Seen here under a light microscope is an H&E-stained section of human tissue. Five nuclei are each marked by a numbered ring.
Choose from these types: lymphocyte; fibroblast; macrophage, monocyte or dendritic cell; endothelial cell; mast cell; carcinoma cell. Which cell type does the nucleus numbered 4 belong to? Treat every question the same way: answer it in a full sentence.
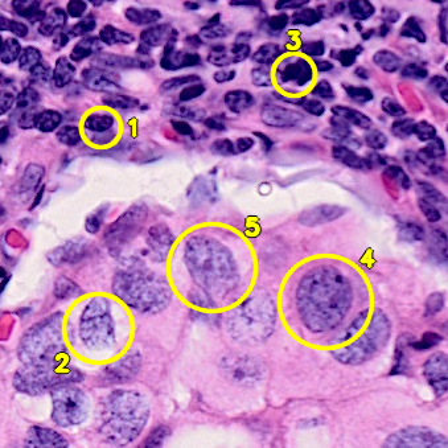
The label 4 in this section denotes a carcinoma cell.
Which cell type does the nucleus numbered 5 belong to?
What the number 5 marks in this field is a carcinoma cell.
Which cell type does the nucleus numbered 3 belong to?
The cell indicated by marker 3 is a lymphocyte in this section.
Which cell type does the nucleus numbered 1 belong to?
Marked with the number 1, this cell is a lymphocyte.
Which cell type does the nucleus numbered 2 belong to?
Corresponding to a carcinoma cell is the cell labelled 2.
